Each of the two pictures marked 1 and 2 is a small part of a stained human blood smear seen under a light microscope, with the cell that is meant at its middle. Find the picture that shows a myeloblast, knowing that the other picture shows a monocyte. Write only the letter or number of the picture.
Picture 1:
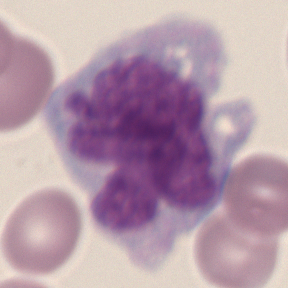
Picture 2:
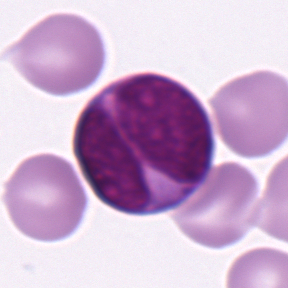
2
